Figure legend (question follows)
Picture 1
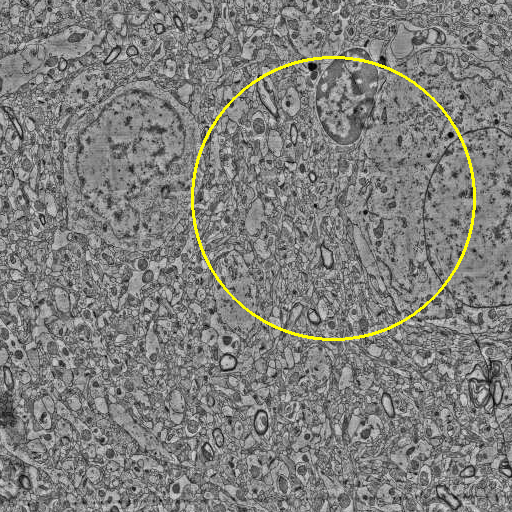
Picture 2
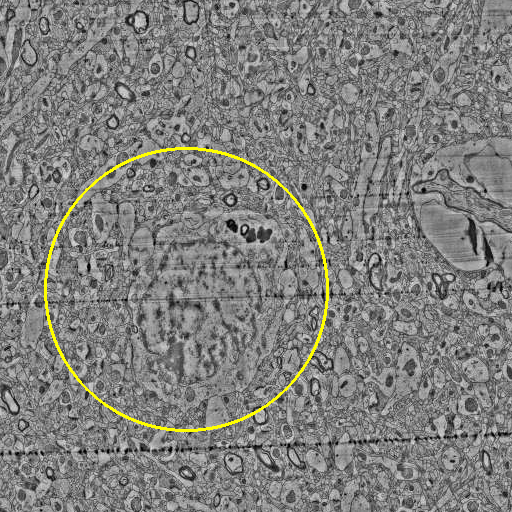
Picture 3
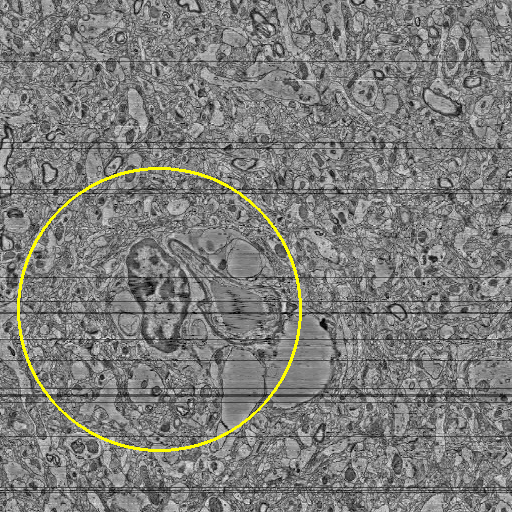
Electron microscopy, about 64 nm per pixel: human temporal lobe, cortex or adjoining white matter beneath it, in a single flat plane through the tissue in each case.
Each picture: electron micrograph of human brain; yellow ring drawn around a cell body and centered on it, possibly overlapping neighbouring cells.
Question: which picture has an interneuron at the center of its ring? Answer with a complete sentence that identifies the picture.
Picture 2 has it at the center of its ring.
